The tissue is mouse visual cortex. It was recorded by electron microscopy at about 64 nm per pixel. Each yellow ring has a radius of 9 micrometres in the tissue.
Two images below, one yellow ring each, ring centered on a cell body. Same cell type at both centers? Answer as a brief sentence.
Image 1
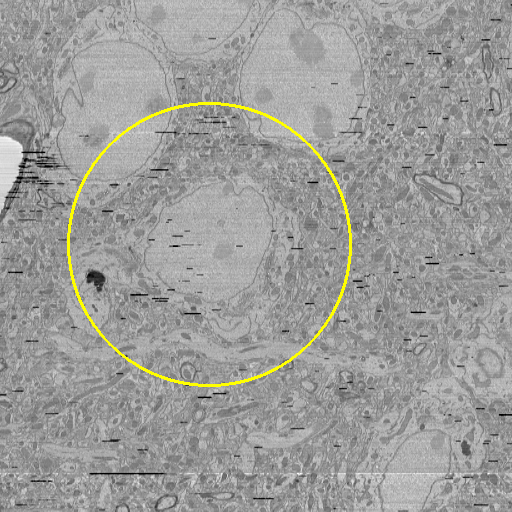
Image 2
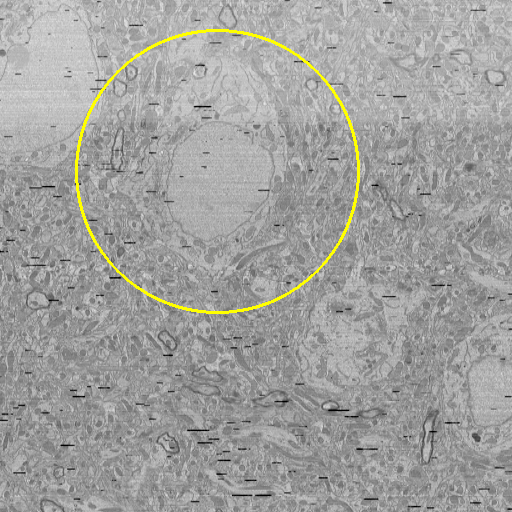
Yes, both cells are of the same type.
